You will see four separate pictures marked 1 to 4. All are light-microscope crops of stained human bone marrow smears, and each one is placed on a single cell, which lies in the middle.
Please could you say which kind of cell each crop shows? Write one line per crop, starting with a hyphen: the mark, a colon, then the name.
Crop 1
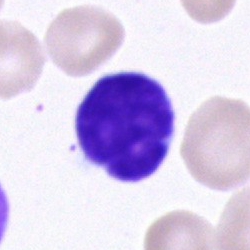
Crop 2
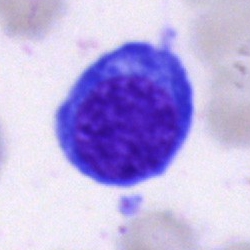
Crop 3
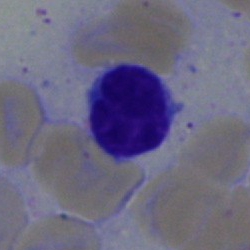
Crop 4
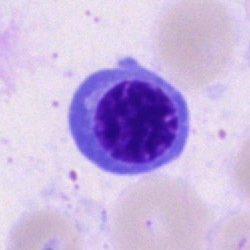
- 1: lymphocyte
- 2: normoblast
- 3: lymphocyte
- 4: normoblast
